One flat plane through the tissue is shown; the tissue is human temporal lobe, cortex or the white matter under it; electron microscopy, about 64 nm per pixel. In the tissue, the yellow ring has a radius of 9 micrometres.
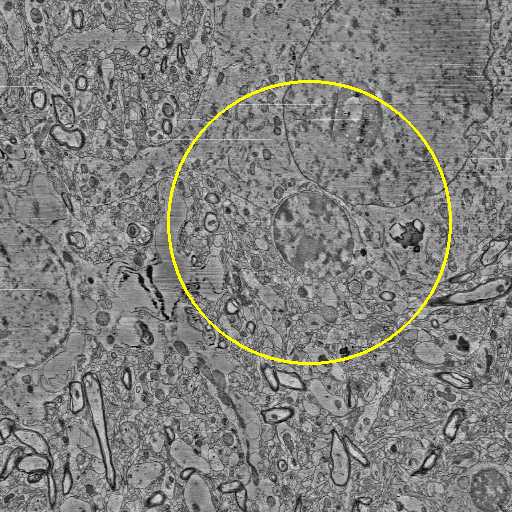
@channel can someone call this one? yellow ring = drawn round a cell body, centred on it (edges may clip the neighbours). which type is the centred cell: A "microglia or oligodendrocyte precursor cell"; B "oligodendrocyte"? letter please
B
